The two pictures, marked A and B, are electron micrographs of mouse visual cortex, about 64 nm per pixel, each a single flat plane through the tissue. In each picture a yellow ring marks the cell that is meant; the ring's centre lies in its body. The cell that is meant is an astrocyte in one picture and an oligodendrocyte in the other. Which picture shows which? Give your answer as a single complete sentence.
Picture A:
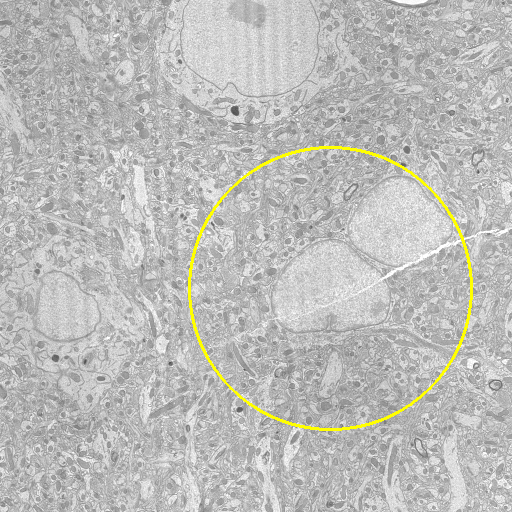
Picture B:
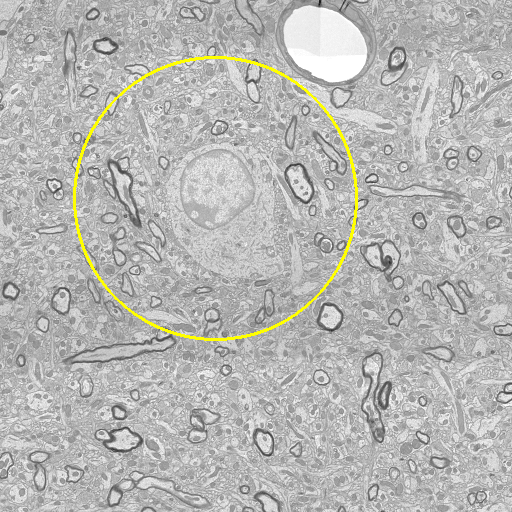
Picture A shows an astrocyte and picture B shows an oligodendrocyte.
